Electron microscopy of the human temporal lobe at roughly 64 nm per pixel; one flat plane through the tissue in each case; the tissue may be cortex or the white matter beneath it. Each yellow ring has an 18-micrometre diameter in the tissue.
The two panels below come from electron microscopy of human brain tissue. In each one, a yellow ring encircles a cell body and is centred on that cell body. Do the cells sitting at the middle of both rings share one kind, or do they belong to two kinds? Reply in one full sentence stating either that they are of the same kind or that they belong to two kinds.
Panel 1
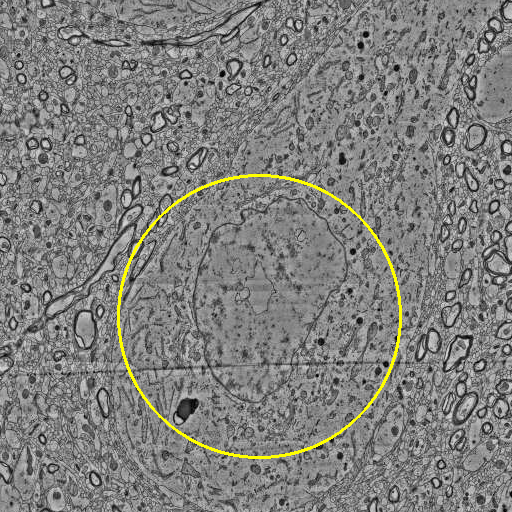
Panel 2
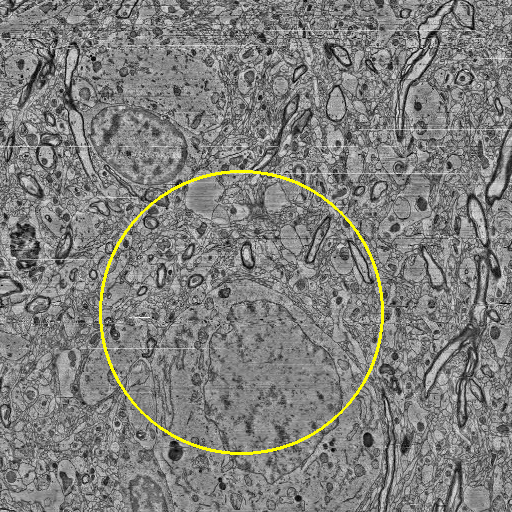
The cells at the centres of the two rings are of the same kind.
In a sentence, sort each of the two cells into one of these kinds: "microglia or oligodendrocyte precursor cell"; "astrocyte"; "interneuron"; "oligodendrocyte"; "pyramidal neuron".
Each one of the two ringed cells is a pyramidal neuron.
